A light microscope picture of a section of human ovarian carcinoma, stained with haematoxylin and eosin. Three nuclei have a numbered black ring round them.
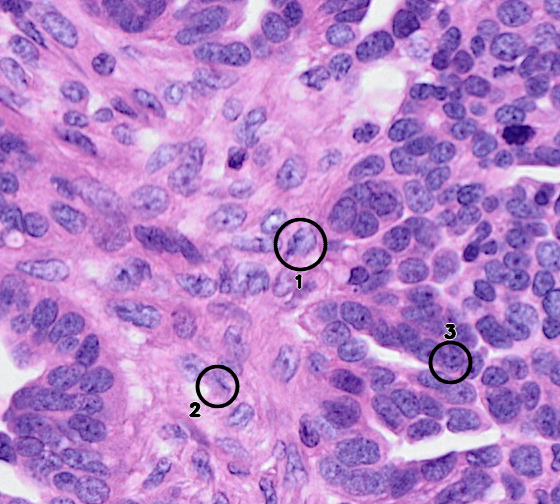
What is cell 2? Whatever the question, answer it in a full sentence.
Corresponding to a fibroblast is the cell labelled 2.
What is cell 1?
Cell 1 in the field of view is a fibroblast.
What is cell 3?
The cell with the number 3 is a carcinoma cell.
